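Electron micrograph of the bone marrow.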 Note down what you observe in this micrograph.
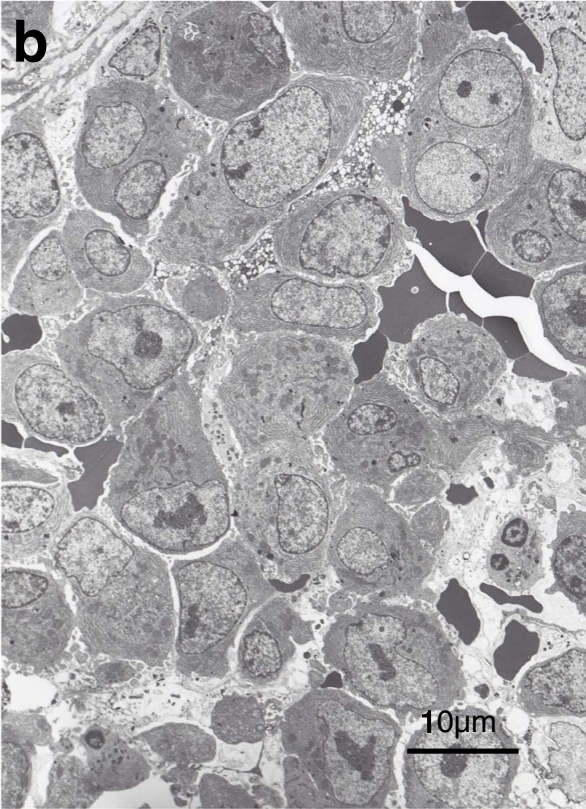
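Large cells lie tightly packed side by side, with only a few red cells squeezed between them. Each has an oval nucleus with pale, finely dispersed chromatin and often a large dark nucleolus. Their cytoplasm is crowded with parallel and concentric stacks of membranes that wrap around the nucleus. These are immature myeloma cells with prominent nucleoli and abundant rough endoplasmic reticulum.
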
